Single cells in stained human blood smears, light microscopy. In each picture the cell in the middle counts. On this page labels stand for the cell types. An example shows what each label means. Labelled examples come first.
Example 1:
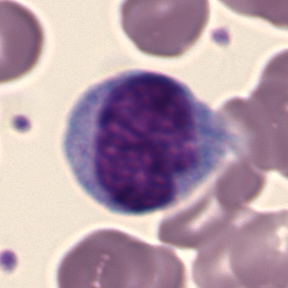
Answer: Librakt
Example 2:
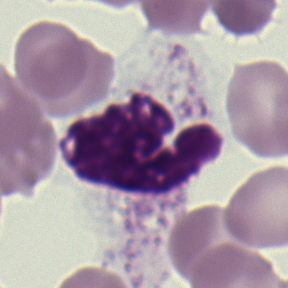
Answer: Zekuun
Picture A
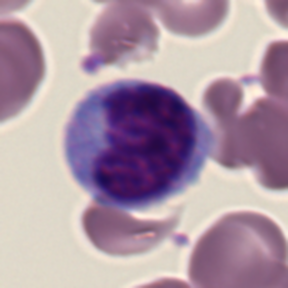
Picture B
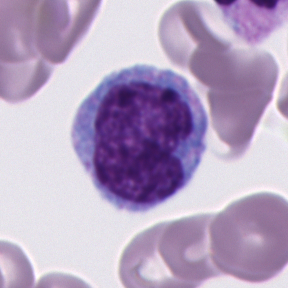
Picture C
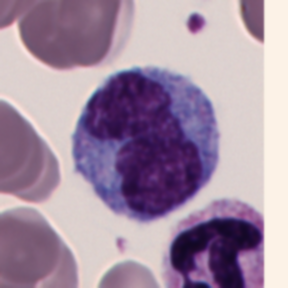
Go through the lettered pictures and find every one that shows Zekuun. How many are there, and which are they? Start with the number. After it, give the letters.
0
